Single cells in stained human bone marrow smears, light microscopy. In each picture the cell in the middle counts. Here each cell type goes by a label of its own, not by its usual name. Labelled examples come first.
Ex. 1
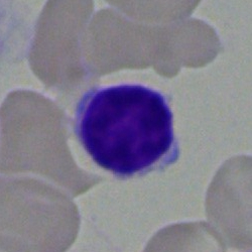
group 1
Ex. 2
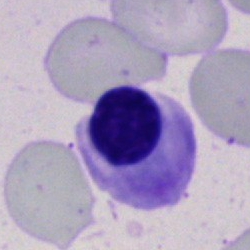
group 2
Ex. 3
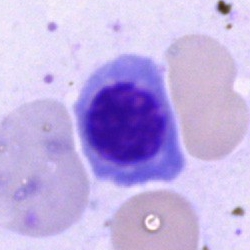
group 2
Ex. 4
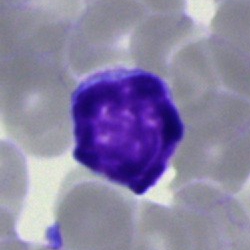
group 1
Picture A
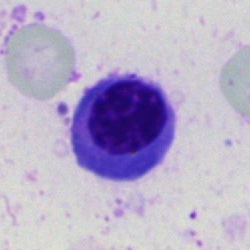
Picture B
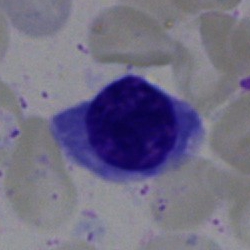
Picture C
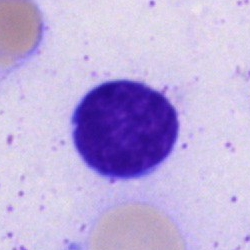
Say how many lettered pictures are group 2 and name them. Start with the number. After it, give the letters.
Count: 2 (A, B)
